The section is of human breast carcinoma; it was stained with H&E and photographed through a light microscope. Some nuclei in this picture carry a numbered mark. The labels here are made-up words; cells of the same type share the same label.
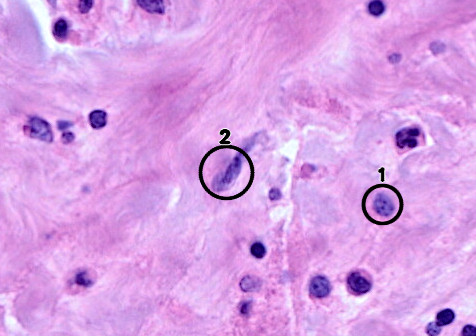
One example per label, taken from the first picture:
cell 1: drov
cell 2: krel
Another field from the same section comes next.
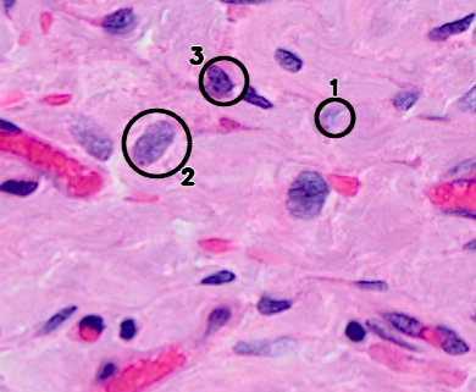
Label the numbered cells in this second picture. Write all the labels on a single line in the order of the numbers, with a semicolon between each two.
krel; krel; drov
